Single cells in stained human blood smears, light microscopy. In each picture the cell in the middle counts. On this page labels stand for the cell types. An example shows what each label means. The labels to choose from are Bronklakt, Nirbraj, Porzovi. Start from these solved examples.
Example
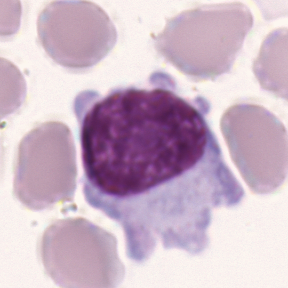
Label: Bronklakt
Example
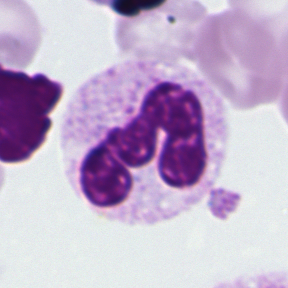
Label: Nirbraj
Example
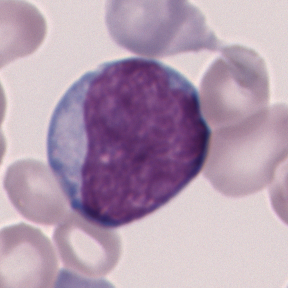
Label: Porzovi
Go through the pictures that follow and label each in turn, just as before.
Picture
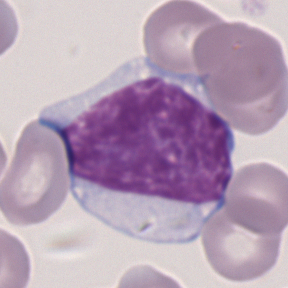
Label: Porzovi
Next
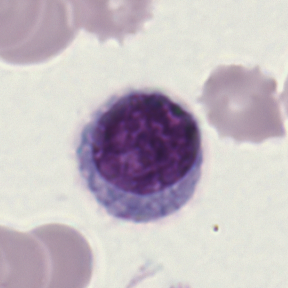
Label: Bronklakt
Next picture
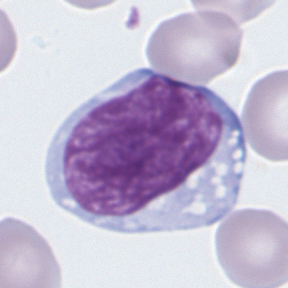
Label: Porzovi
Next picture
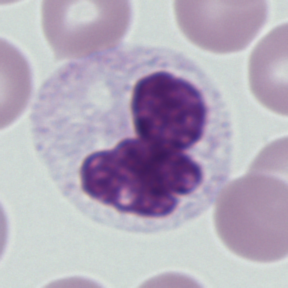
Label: Nirbraj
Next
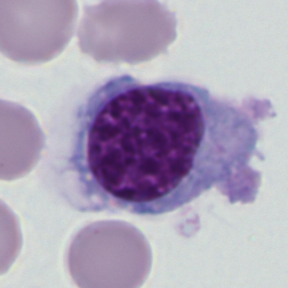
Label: Bronklakt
